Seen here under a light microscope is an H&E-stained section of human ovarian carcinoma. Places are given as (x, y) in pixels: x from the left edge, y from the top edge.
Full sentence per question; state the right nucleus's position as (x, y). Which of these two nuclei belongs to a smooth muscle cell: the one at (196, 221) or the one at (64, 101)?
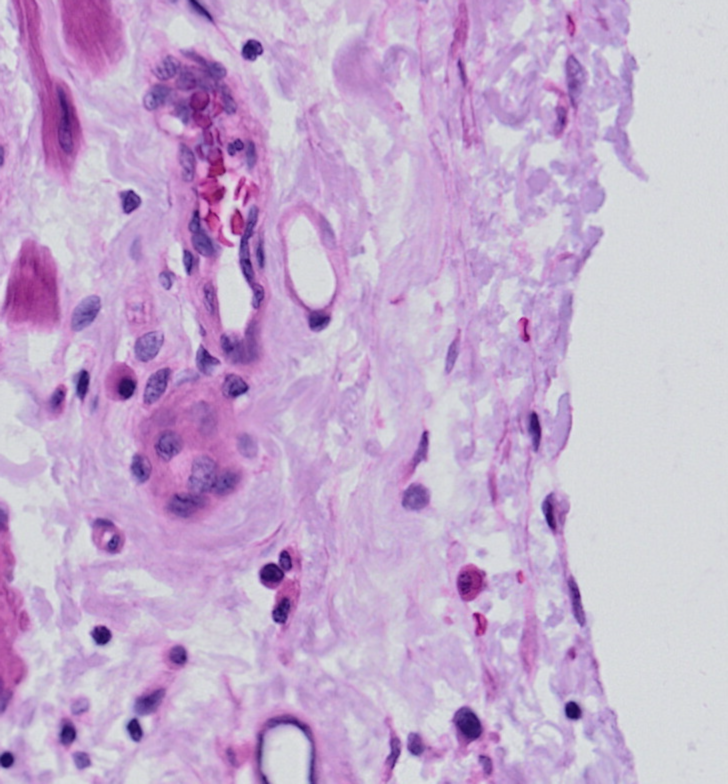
The nucleus located at (64, 101) is the one held within a smooth muscle cell.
